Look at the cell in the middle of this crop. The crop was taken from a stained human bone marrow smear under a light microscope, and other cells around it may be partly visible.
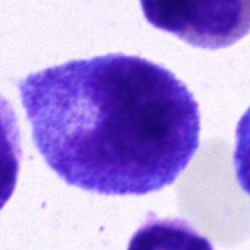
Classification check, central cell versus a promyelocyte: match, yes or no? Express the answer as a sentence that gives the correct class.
Yes, the middle of the crop is occupied by a promyelocyte.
